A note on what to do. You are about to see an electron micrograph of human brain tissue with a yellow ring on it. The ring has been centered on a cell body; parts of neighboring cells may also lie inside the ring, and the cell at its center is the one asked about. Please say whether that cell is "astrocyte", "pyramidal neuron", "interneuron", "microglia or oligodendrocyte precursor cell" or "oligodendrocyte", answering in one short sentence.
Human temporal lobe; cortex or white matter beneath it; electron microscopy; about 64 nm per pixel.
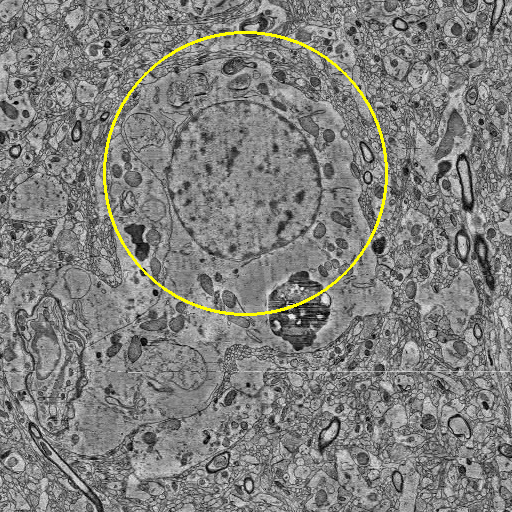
The yellow ring sits on an astrocyte.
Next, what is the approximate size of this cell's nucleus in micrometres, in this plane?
Roughly 10 micrometers across in this plane.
